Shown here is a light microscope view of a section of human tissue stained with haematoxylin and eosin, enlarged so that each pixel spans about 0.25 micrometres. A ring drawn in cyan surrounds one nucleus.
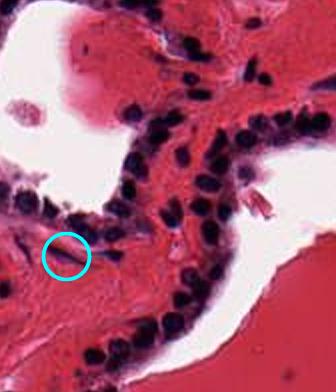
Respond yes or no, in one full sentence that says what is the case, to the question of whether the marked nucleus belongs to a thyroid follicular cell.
No, the owner of the marked nucleus is a supporting cell, not a thyroid follicular cell.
